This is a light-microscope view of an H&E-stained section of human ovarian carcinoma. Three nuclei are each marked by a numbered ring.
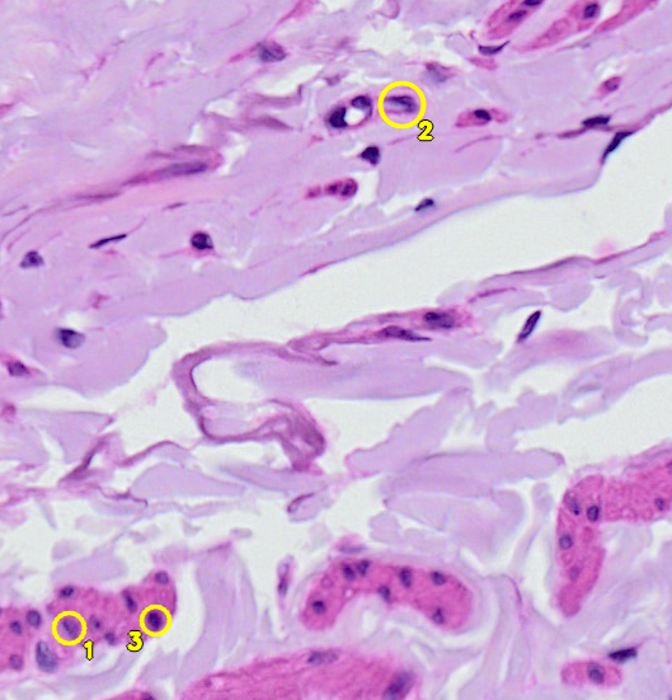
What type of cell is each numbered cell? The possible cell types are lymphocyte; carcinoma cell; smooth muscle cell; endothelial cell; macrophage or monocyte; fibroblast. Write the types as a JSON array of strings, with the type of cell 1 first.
["smooth muscle cell", "endothelial cell", "smooth muscle cell"]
